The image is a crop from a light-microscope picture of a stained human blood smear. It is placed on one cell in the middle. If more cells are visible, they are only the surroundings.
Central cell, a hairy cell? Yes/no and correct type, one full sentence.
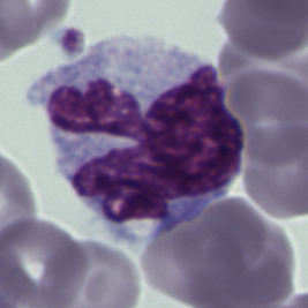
No, the middle cell is classified as a monocyte and not as a hairy cell.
